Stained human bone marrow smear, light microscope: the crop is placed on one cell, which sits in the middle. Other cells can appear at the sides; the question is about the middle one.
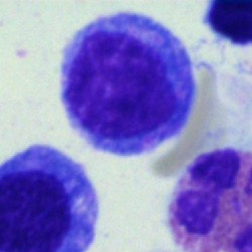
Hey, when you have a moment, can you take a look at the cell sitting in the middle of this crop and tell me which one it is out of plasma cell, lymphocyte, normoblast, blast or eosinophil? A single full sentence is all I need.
As for the cell in the middle, it is a blast.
